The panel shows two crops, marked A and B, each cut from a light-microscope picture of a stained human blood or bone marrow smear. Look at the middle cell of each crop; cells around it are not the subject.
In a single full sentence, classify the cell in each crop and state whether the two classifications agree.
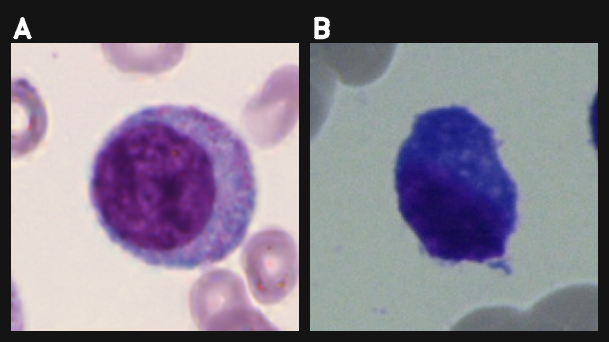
No, a myelocyte is what occupies crop A, and a plasma cell is what occupies crop B.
